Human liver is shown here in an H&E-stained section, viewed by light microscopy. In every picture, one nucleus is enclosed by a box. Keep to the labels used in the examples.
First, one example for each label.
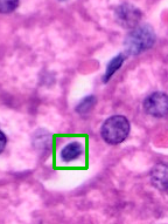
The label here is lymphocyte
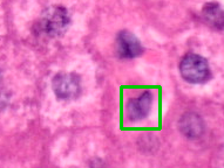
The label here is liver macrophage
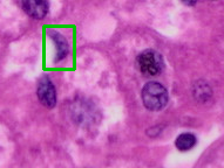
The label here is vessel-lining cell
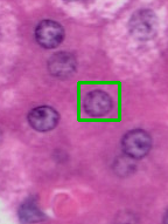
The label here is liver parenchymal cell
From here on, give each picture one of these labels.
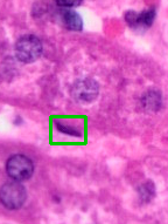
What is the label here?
vessel-lining cell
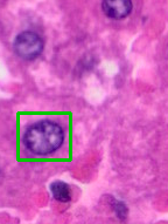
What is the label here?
liver parenchymal cell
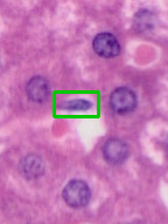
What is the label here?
vessel-lining cell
